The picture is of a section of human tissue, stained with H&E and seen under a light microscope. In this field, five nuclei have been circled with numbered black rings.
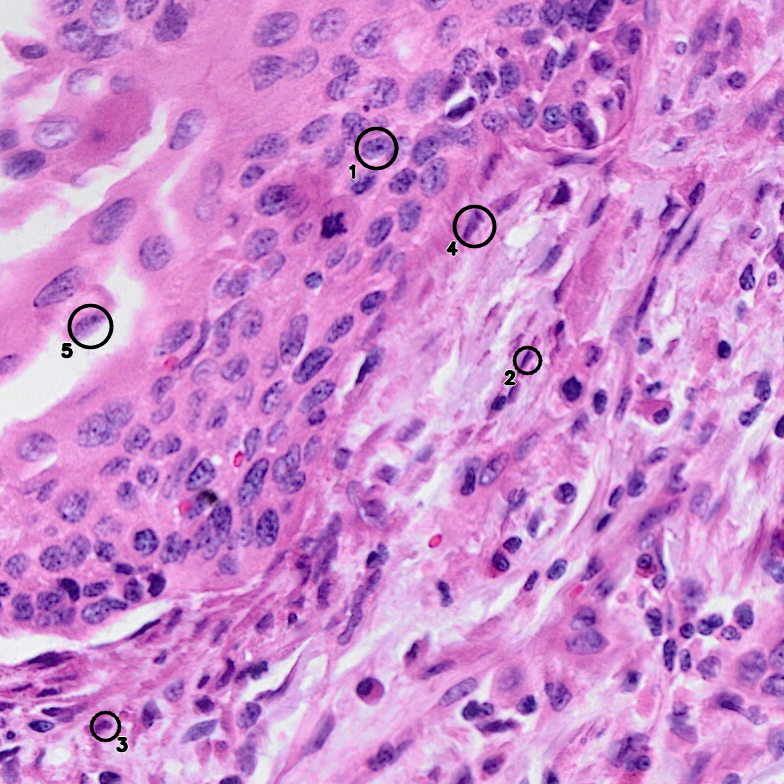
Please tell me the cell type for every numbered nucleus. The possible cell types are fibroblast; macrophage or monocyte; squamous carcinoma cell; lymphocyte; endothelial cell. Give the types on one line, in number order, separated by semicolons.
squamous carcinoma cell; fibroblast; fibroblast; fibroblast; squamous carcinoma cell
